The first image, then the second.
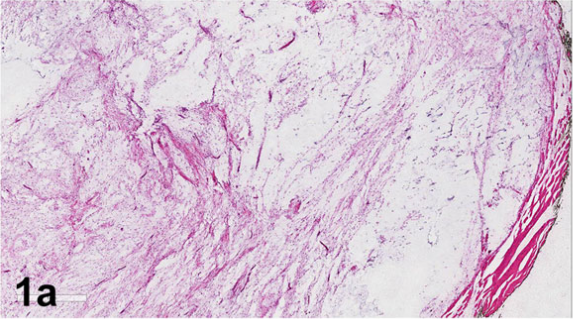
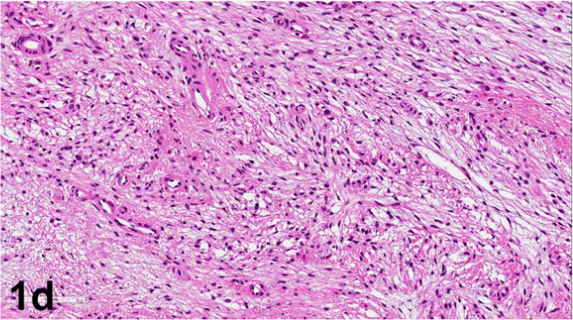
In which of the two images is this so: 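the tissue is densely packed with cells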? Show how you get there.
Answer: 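Second image: spindle nuclei crowd the field with pink fibrous stroma and vessels between them. First image: a wide pale matrix holds only sparse scattered cells.
Conclusion: the second image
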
